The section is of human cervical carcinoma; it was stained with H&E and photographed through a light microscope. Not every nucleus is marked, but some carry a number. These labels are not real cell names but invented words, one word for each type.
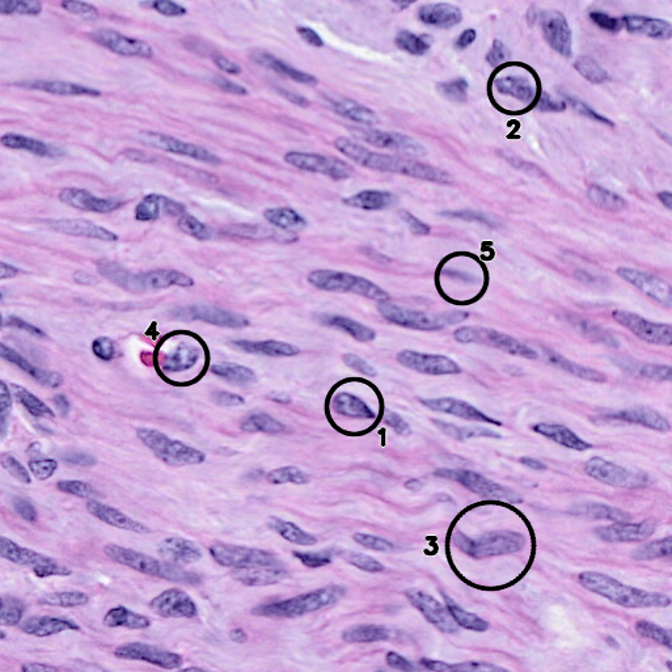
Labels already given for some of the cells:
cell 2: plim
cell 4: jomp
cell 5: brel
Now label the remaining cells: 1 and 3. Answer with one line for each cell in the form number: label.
1: brel
3: brel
